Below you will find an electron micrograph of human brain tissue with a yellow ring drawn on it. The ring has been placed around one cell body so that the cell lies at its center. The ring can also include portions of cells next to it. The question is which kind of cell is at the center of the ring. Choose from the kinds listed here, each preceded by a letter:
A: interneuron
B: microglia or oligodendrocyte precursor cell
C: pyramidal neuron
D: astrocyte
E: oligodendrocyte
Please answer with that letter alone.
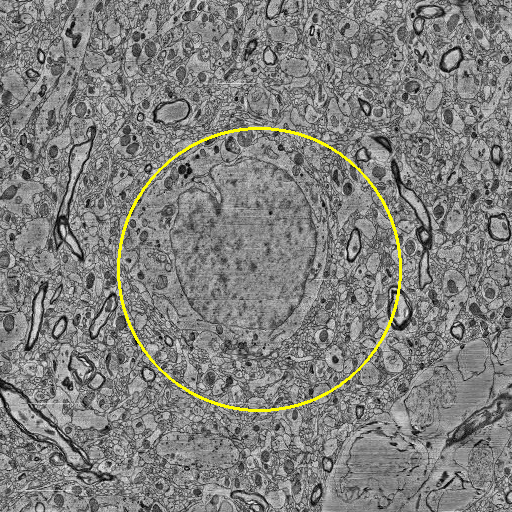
A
